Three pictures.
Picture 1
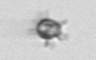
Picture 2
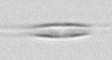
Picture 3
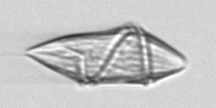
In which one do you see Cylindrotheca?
In picture 2.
